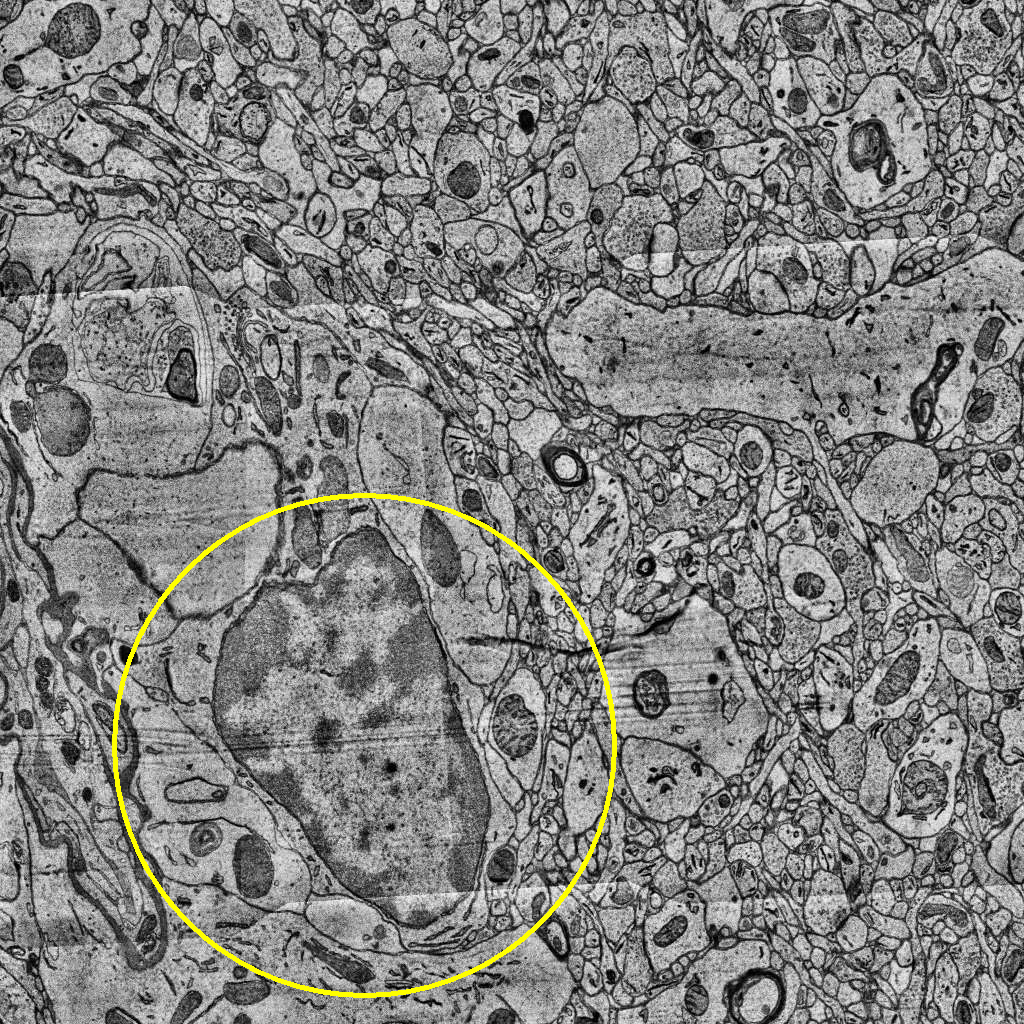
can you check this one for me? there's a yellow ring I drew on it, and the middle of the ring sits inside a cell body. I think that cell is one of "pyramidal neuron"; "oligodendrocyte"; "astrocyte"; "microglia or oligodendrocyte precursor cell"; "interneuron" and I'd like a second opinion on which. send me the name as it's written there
microglia or oligodendrocyte precursor cell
